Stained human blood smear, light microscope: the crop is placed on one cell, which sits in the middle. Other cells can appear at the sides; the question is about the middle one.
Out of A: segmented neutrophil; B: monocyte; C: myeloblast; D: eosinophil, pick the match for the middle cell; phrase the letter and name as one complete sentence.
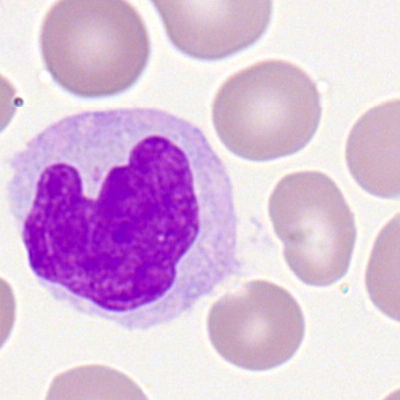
Option B is correct here, and the cell in the middle is a monocyte.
